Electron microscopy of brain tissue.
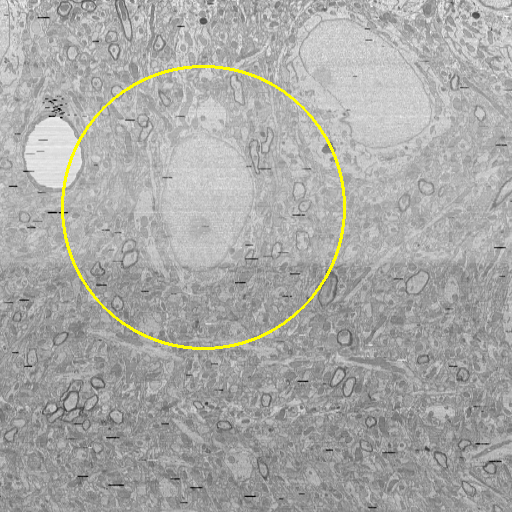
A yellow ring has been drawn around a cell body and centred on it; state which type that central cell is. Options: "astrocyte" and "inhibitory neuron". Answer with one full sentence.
The cell at the middle of the yellow ring is an astrocyte in this picture.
